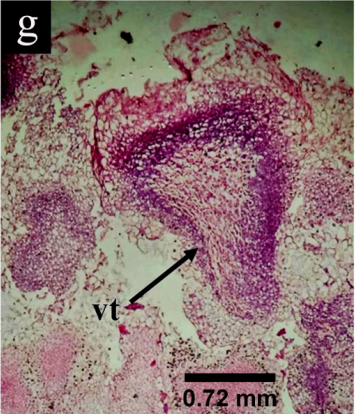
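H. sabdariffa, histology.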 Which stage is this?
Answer: torpedo shaped embryo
